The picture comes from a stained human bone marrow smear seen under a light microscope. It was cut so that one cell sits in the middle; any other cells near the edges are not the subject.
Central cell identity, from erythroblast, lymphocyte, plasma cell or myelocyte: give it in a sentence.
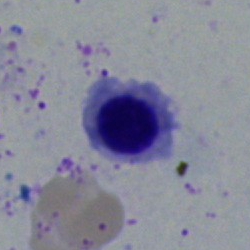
At the center of the crop sits an erythroblast.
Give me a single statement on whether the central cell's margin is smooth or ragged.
The cell margin is rough and uneven, either ragged or drawn into projections.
